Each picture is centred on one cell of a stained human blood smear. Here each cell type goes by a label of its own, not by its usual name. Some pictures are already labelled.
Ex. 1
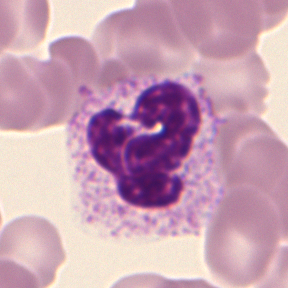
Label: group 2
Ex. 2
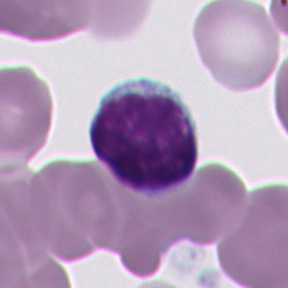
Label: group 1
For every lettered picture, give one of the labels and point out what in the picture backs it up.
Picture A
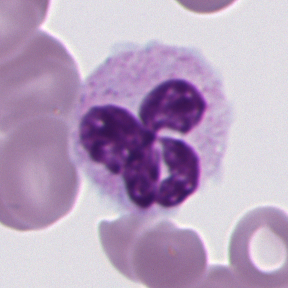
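Answer: group 2. The cytoplasm is pale pinkish-lilac rather than blue.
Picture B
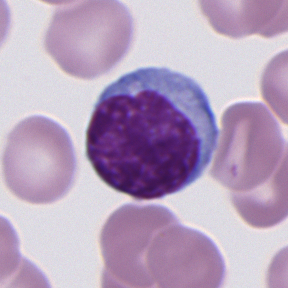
Answer: group 1. The nucleus fills most of the cell and sits toward the lower left.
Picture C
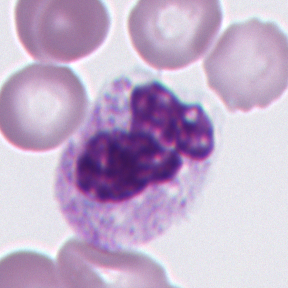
Answer: group 2. The cytoplasm is plentiful and very pale, nearly colourless between the granules.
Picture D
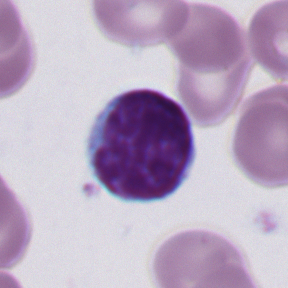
Answer: group 1. The cytoplasm forms a thin rim that is widest on the left side.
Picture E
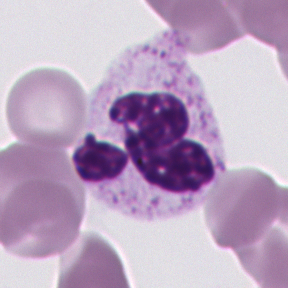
Answer: group 2. The cytoplasm is plentiful and pale pinkish-lilac.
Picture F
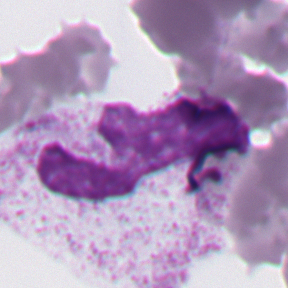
Answer: group 2. Abundant pale cytoplasm lies mainly below and to the left of the nucleus.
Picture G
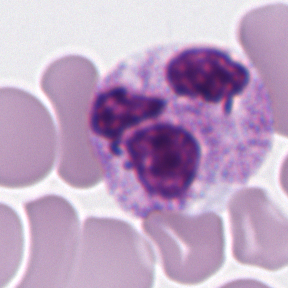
Answer: group 2. The cytoplasm is plentiful and pale pink.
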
